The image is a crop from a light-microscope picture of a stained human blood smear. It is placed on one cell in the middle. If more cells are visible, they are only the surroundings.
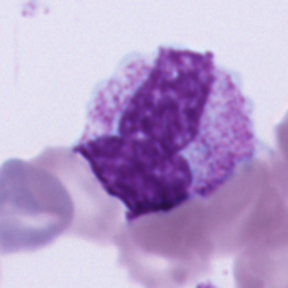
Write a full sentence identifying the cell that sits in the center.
The cell at the central position in this crop is a band neutrophil.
